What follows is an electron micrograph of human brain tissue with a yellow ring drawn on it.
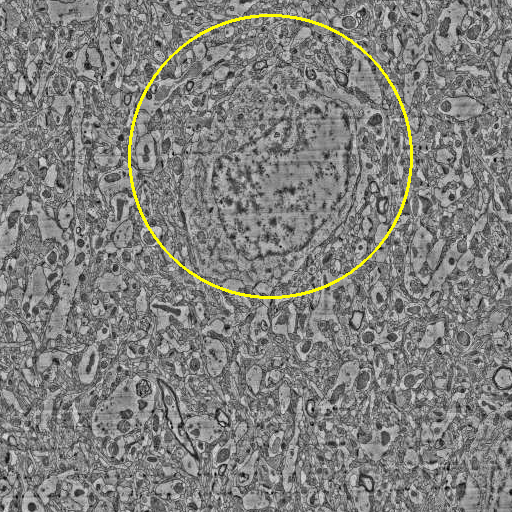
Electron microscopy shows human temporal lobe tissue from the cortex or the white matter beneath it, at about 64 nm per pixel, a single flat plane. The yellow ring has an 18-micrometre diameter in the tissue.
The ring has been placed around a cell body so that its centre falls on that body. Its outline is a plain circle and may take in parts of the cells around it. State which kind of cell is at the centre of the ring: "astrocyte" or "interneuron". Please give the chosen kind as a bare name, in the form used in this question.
interneuron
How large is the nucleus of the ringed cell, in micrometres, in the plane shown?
The nucleus has a long axis of about 11 micrometres and a short axis of about 8 micrometres in this plane.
